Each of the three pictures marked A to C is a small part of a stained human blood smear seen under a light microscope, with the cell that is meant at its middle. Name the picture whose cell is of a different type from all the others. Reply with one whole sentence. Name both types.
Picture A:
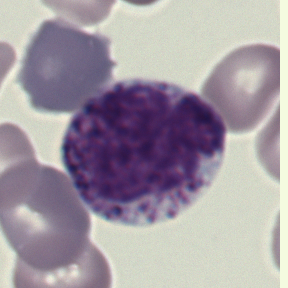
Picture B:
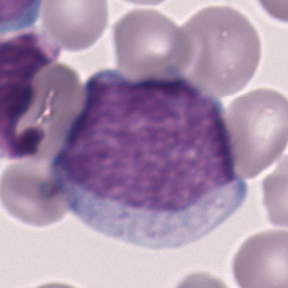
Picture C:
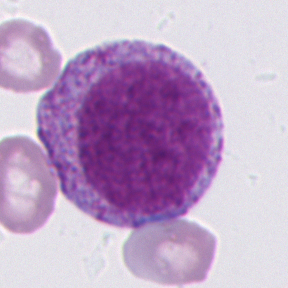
All pictures except A show promyelocytes; picture A shows a basophil.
